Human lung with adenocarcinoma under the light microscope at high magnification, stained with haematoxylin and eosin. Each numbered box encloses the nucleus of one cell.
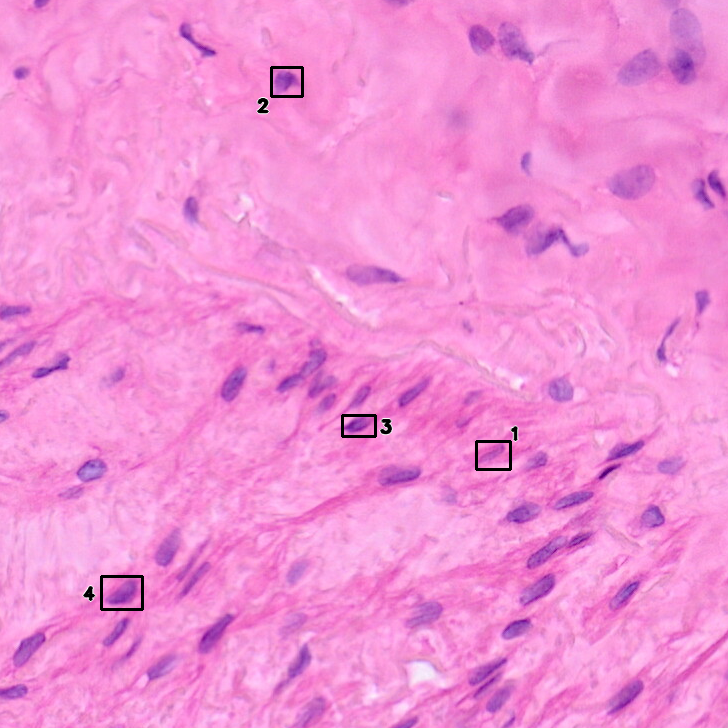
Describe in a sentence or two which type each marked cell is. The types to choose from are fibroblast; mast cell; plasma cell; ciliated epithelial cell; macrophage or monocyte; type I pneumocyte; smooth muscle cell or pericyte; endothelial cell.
Cell 1 is a smooth muscle cell or pericyte, cell 2 is a fibroblast, cell 3 is a smooth muscle cell or pericyte and cell 4 is a smooth muscle cell or pericyte.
